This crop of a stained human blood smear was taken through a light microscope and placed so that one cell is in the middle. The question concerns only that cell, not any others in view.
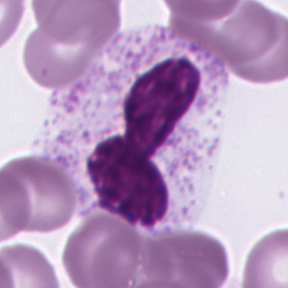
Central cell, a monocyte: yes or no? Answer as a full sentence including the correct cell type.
No, the central cell is not a monocyte; it is a segmented neutrophil instead.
